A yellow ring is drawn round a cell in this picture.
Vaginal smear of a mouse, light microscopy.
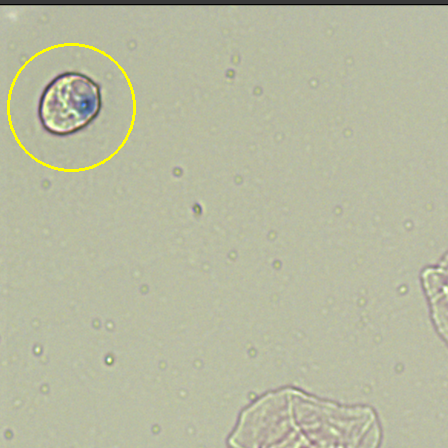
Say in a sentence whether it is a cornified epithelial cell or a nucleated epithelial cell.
The cell in the ring is a nucleated epithelial cell.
